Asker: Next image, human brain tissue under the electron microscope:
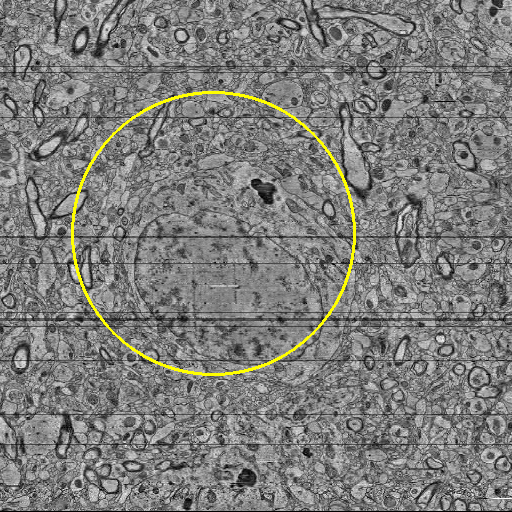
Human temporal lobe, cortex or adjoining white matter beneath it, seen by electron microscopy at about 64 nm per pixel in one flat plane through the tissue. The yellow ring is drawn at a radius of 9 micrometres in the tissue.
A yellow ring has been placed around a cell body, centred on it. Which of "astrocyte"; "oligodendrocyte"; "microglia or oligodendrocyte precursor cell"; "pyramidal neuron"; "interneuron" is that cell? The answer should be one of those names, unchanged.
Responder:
pyramidal neuron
